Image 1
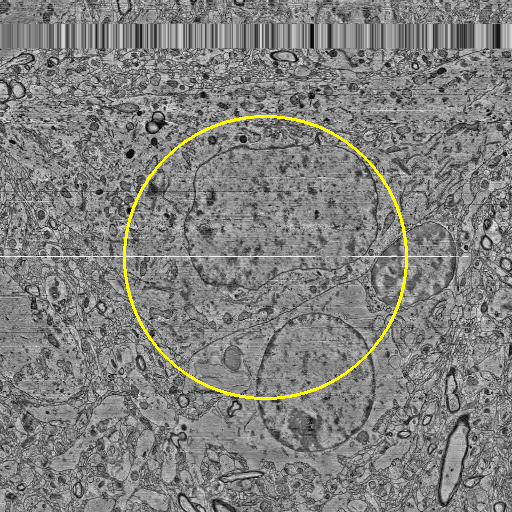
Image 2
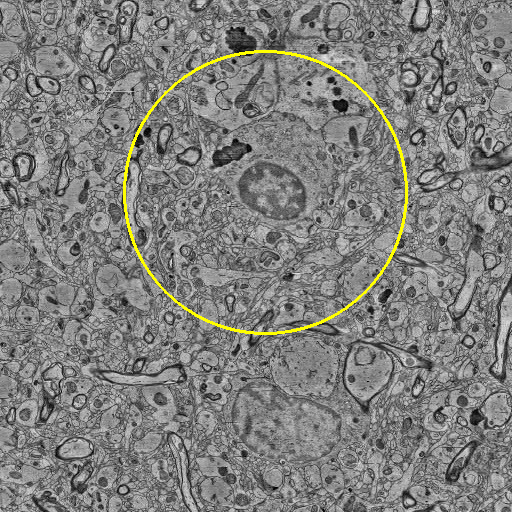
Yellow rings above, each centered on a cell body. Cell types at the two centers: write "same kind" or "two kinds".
two kinds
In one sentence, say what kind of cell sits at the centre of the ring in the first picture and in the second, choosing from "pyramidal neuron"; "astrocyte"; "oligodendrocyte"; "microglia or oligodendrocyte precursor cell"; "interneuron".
The first picture's ringed cell is a pyramidal neuron, while the second picture's is an oligodendrocyte.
